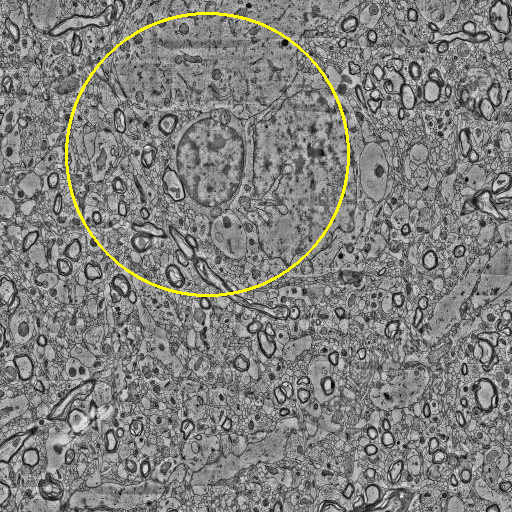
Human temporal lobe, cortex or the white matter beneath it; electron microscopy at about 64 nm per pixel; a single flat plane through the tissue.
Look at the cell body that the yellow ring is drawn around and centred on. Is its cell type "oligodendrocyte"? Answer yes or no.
yes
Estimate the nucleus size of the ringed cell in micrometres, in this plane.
The nucleus appears roughly 6 by 4 micrometres in this plane.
